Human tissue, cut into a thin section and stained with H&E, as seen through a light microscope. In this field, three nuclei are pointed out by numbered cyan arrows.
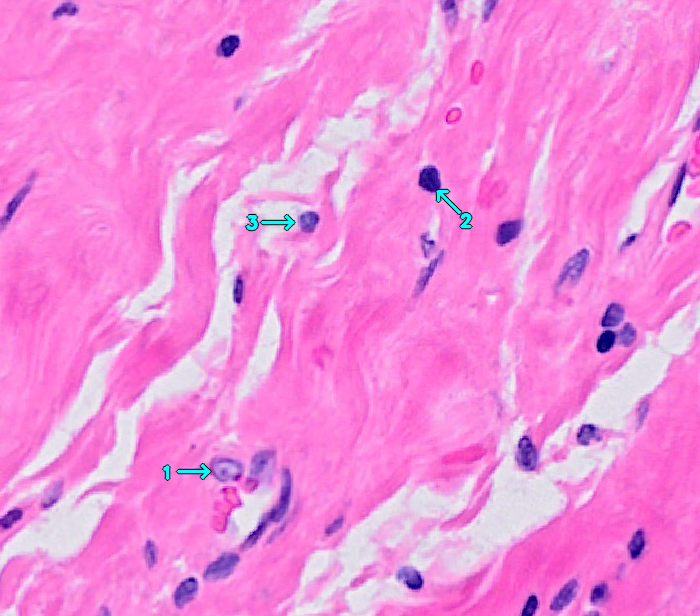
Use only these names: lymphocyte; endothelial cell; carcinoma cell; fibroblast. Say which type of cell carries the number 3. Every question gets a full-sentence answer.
The cell to which the number 3 is assigned is a lymphocyte.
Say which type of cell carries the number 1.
Cell 1, as marked in the section, is an endothelial cell.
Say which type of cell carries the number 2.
The cell whose nucleus carries the number 2 is a lymphocyte.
